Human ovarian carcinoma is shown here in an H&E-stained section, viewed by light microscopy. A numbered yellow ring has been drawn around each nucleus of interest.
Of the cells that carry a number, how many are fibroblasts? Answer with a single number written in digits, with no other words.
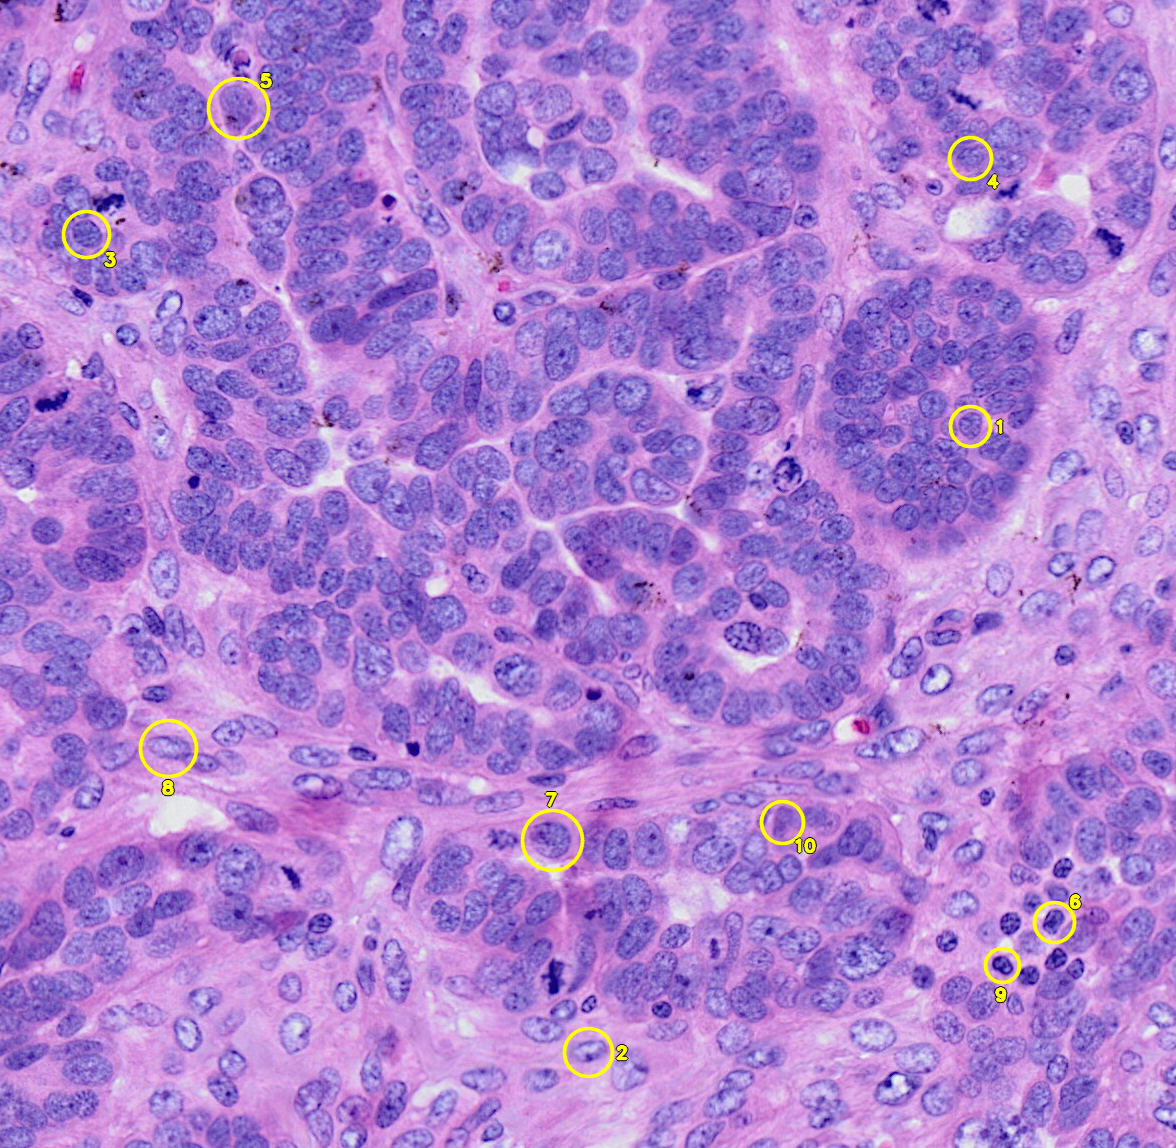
2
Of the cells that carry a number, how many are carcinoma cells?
6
